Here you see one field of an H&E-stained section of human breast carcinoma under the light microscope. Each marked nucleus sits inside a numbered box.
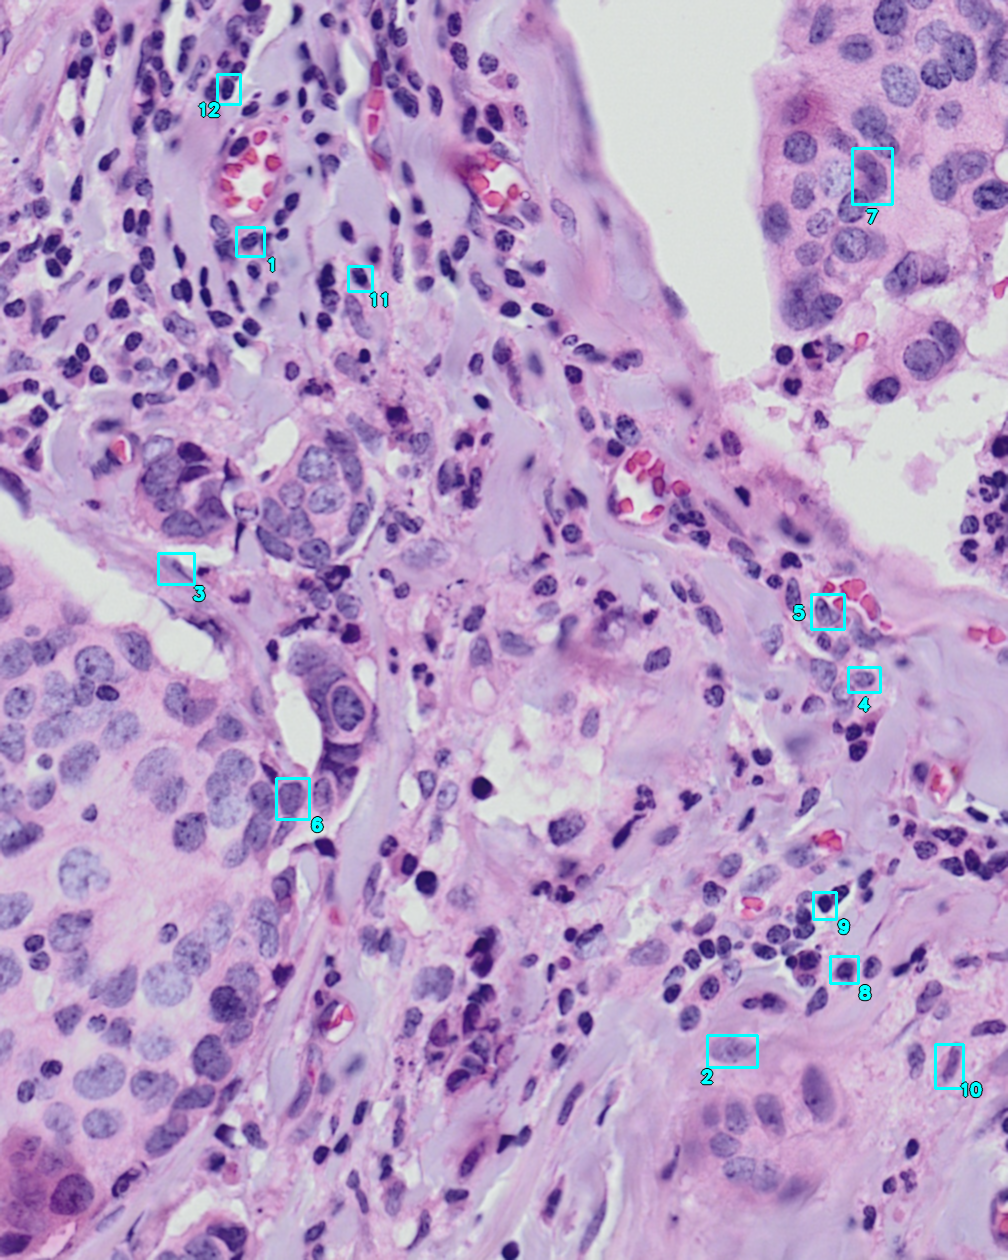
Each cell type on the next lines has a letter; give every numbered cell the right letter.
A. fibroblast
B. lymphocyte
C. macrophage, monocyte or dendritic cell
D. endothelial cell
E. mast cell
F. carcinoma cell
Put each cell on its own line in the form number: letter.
1: B
2: A
3: A
4: E
5: D
6: F
7: F
8: B
9: B
10: C
11: B
12: B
